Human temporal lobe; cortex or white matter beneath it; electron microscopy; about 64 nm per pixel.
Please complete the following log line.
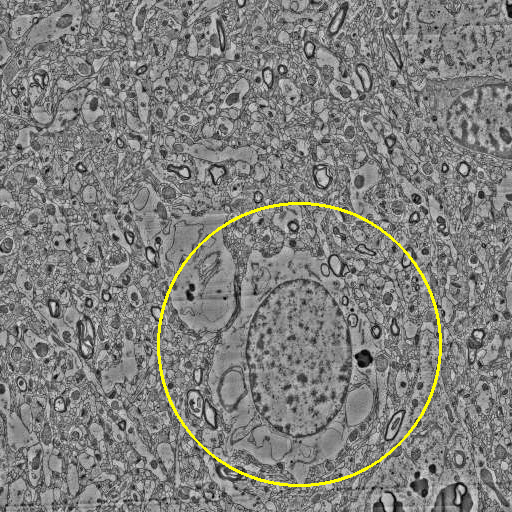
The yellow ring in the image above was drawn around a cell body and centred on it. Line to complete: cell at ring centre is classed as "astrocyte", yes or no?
yes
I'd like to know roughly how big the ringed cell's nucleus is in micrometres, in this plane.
Roughly 10 by 7 micrometres in this plane, for the nucleus of the ringed cell.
